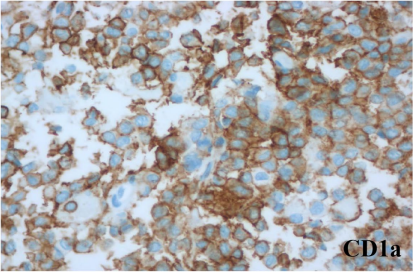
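This shows a loosely arranged population of histiocytes with strong brown staining. The stain is concentrated along the cell membranes, outlining each cell as a crisp brown ring, with some cytoplasmic staining as well.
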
